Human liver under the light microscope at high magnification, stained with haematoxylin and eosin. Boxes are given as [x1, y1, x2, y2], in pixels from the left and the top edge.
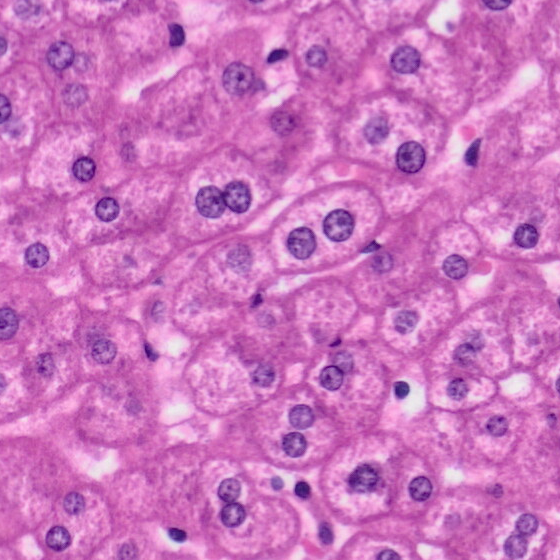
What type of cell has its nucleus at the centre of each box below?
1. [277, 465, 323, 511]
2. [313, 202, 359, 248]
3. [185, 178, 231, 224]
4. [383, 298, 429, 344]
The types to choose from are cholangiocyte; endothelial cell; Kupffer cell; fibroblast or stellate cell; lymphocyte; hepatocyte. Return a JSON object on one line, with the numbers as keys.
{"1": "lymphocyte", "2": "hepatocyte", "3": "hepatocyte", "4": "hepatocyte"}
